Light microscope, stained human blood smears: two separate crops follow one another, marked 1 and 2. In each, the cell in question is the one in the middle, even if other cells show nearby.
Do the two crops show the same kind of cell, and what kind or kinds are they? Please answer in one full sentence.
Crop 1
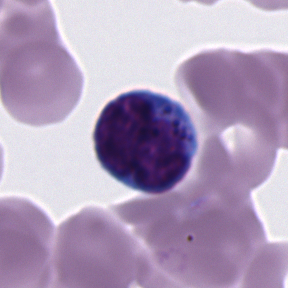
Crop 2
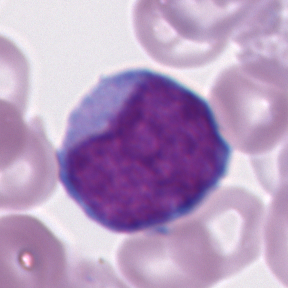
No, crop 1 shows a lymphocyte, and the cell in crop 2 is a blast.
